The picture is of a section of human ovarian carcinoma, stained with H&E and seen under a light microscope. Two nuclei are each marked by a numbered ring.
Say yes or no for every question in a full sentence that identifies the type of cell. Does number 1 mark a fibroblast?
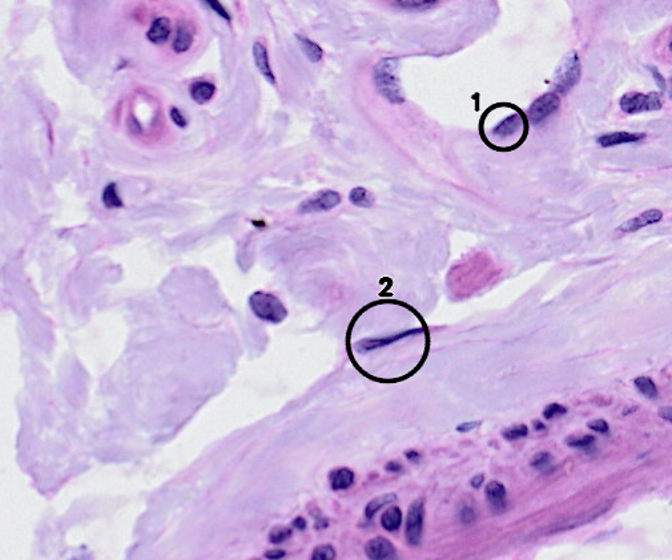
No, the one with number 1 is an endothelial cell, not a fibroblast.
